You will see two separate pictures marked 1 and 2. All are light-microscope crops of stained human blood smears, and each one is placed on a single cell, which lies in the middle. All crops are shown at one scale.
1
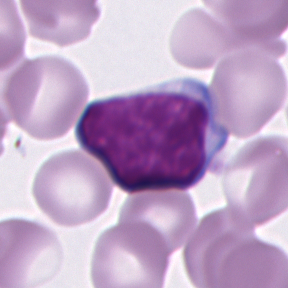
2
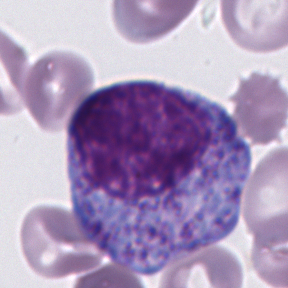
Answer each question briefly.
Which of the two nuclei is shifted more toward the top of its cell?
2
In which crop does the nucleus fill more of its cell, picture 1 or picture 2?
1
